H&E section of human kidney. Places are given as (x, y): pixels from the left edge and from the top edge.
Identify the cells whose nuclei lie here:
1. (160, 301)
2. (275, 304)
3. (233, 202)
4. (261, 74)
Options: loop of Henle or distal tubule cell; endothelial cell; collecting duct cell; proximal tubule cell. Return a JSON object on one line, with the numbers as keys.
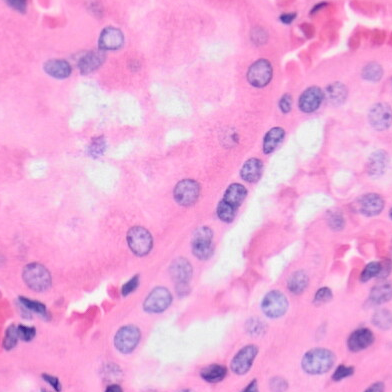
{"1": "collecting duct cell", "2": "collecting duct cell", "3": "collecting duct cell", "4": "proximal tubule cell"}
